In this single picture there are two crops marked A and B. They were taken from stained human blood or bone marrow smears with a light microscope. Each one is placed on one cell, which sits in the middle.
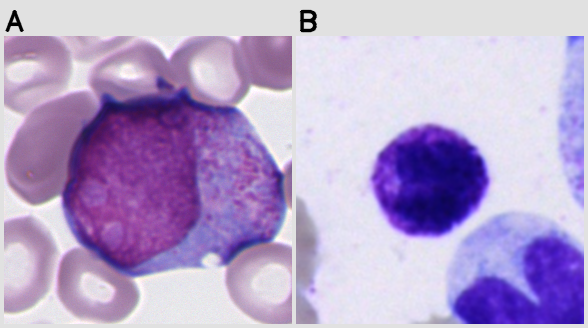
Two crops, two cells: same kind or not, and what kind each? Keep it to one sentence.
No, the cell shown in crop A is a promyelocyte, and the cell shown in crop B is a basophil.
